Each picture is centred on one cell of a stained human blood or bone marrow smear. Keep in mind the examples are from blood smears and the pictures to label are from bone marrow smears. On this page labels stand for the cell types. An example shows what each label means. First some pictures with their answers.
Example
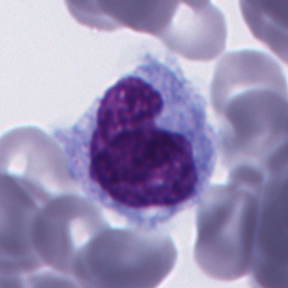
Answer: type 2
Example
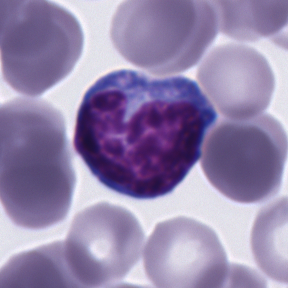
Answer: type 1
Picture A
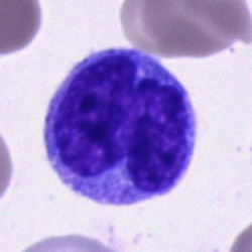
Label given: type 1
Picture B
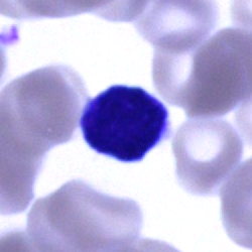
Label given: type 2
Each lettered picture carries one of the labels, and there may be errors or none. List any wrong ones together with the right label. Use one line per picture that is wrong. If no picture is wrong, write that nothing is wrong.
A: not type 1 but type 2
B: not type 2 but type 1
